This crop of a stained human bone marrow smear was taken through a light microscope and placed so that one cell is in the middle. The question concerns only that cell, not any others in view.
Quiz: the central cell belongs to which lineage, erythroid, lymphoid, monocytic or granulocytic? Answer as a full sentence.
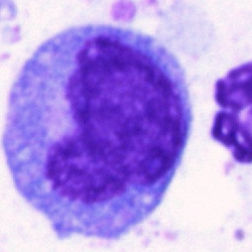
The central cell of this crop is a member of the monocytic line of development.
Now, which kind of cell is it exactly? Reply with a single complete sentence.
The cell nearest the centre of this crop is a monocyte.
